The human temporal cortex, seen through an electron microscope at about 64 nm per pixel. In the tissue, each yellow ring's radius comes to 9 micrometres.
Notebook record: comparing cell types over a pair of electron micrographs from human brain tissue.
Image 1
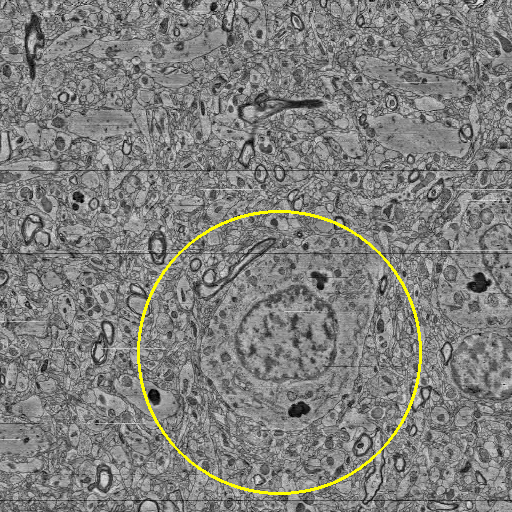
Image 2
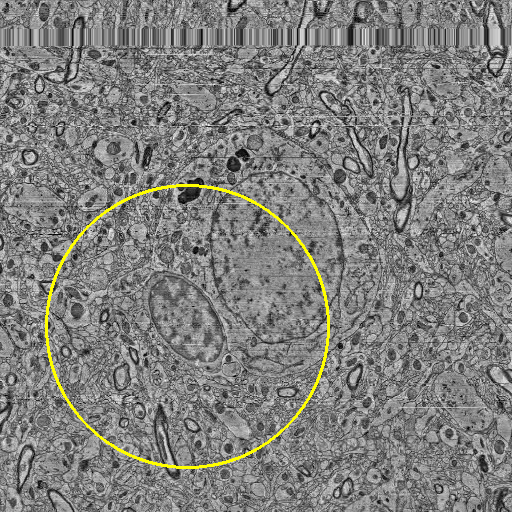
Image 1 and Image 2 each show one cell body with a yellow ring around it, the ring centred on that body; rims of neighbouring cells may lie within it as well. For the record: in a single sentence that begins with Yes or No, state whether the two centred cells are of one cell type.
No, two cell types are found among the centred cells of Image 1 and Image 2.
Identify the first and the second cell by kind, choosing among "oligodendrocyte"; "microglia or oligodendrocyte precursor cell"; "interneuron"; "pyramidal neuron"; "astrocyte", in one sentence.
The one in the first picture is an interneuron, while the one in the second is an oligodendrocyte.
